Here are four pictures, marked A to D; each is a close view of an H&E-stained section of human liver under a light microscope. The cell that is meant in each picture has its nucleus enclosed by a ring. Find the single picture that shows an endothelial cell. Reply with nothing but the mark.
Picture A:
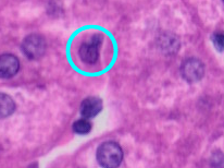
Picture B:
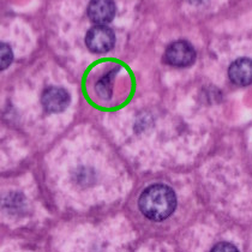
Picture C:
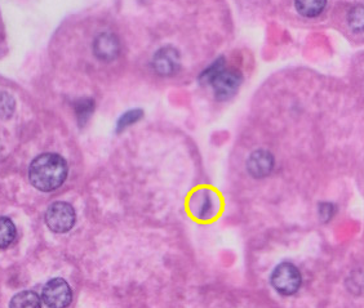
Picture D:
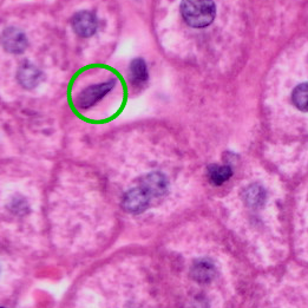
B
